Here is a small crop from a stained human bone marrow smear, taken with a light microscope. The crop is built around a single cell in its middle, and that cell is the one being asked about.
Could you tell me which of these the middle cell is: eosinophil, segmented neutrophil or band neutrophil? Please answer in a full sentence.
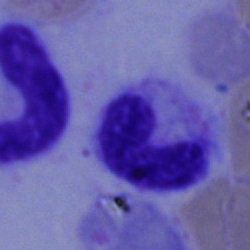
By type, the central cell of the crop is a band neutrophil.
